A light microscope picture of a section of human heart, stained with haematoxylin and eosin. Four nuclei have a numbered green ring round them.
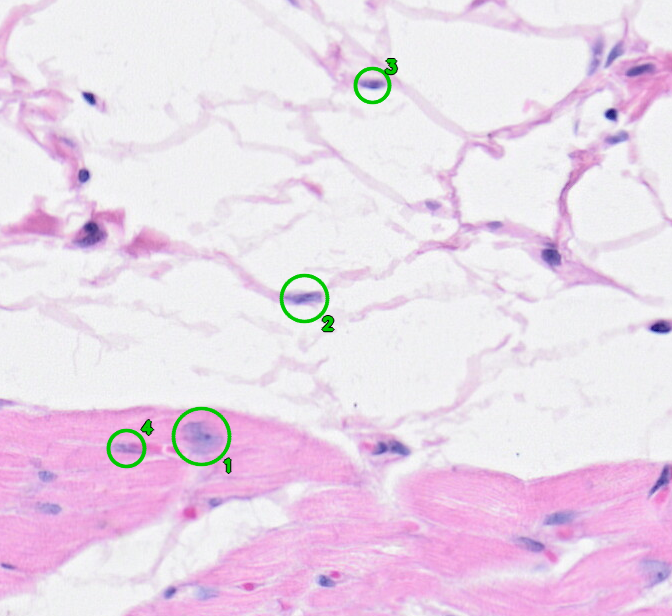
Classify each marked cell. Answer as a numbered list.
1. cardiomyocyte
2. fibroblast
3. fibroblast
4. endothelial cell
